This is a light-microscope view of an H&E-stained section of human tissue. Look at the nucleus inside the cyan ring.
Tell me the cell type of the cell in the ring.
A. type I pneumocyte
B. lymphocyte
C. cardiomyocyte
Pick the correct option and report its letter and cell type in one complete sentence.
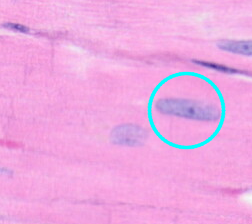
As stated in option C, the cell in the ring is a cardiomyocyte.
